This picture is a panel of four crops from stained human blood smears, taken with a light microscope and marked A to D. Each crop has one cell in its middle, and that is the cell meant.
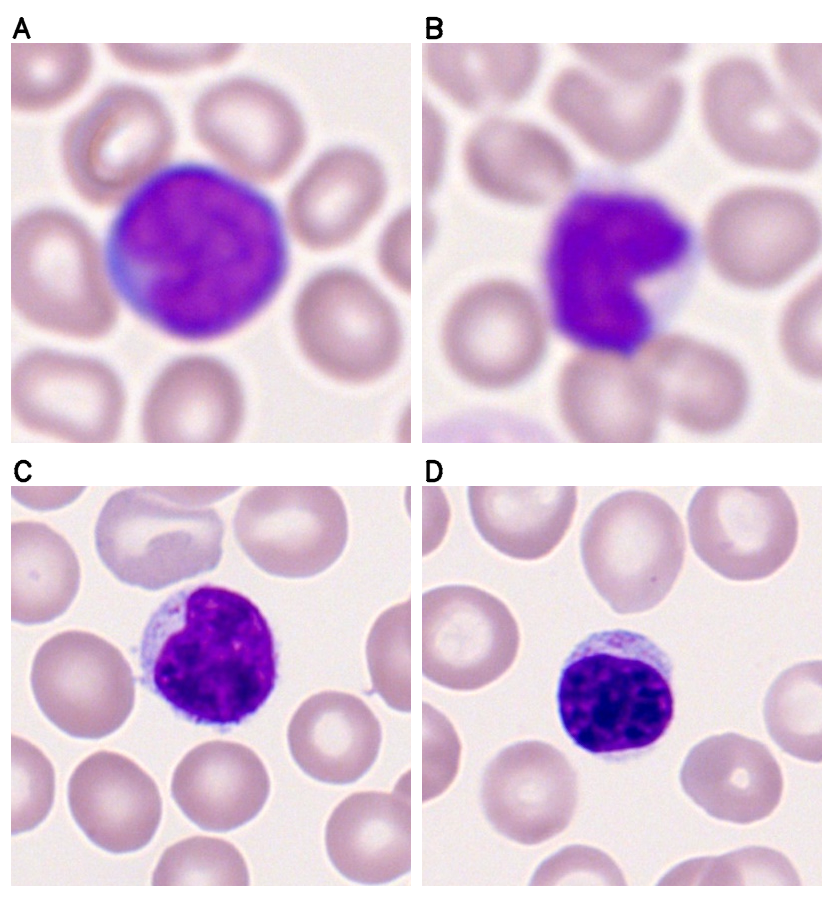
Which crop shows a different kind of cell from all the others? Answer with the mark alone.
A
